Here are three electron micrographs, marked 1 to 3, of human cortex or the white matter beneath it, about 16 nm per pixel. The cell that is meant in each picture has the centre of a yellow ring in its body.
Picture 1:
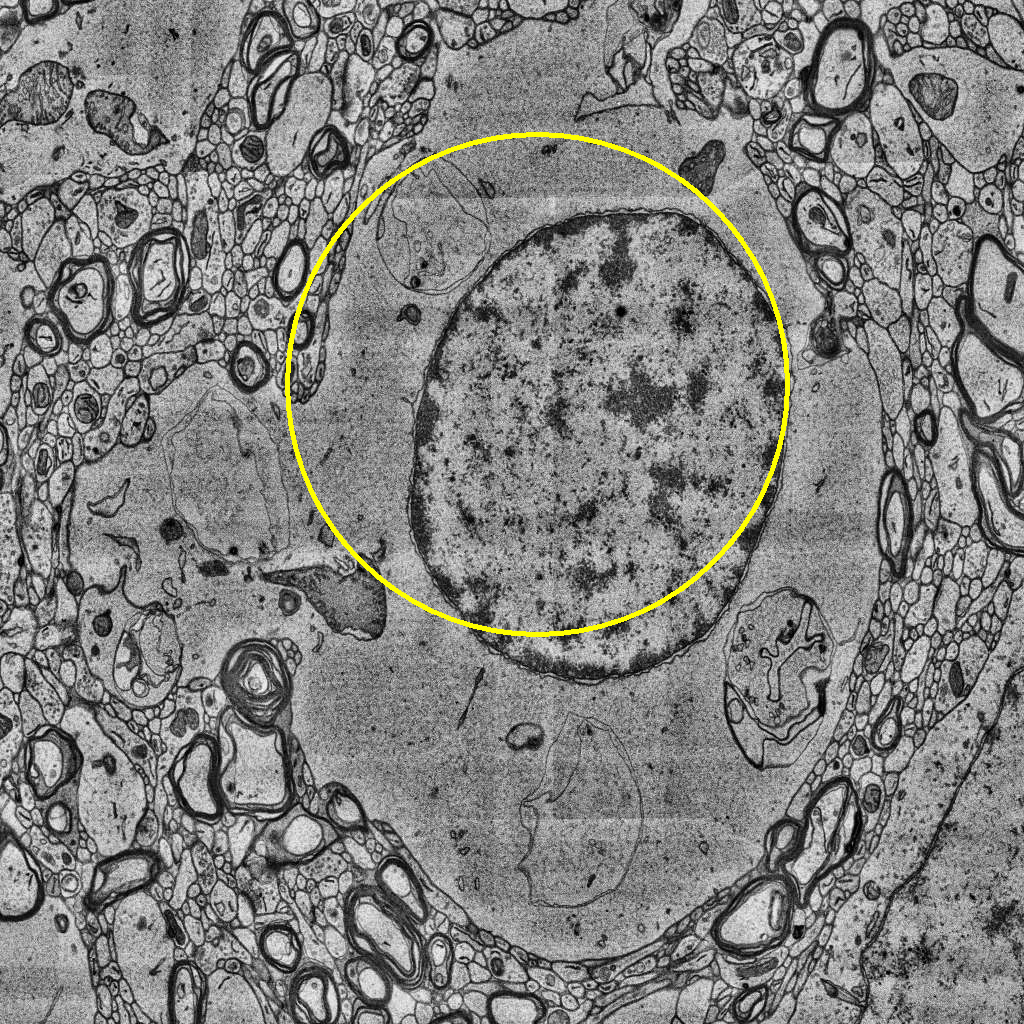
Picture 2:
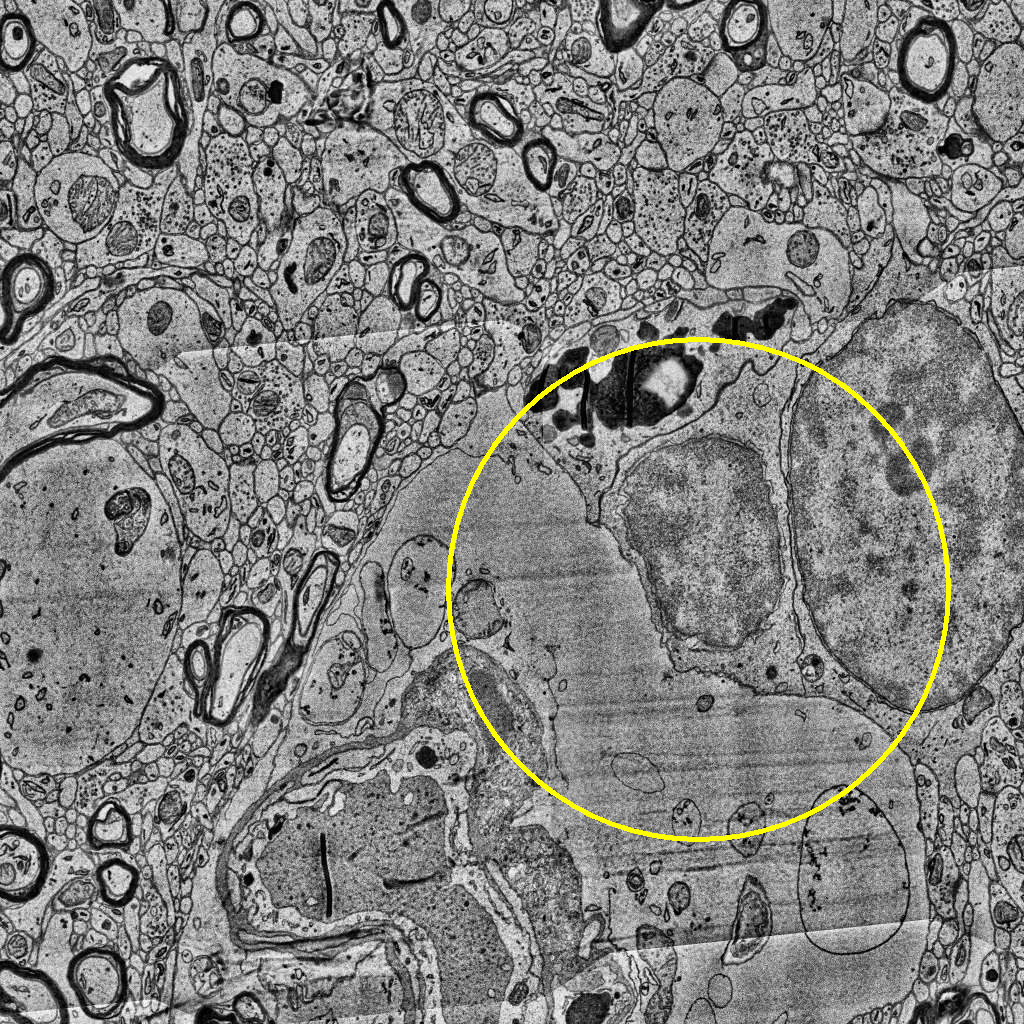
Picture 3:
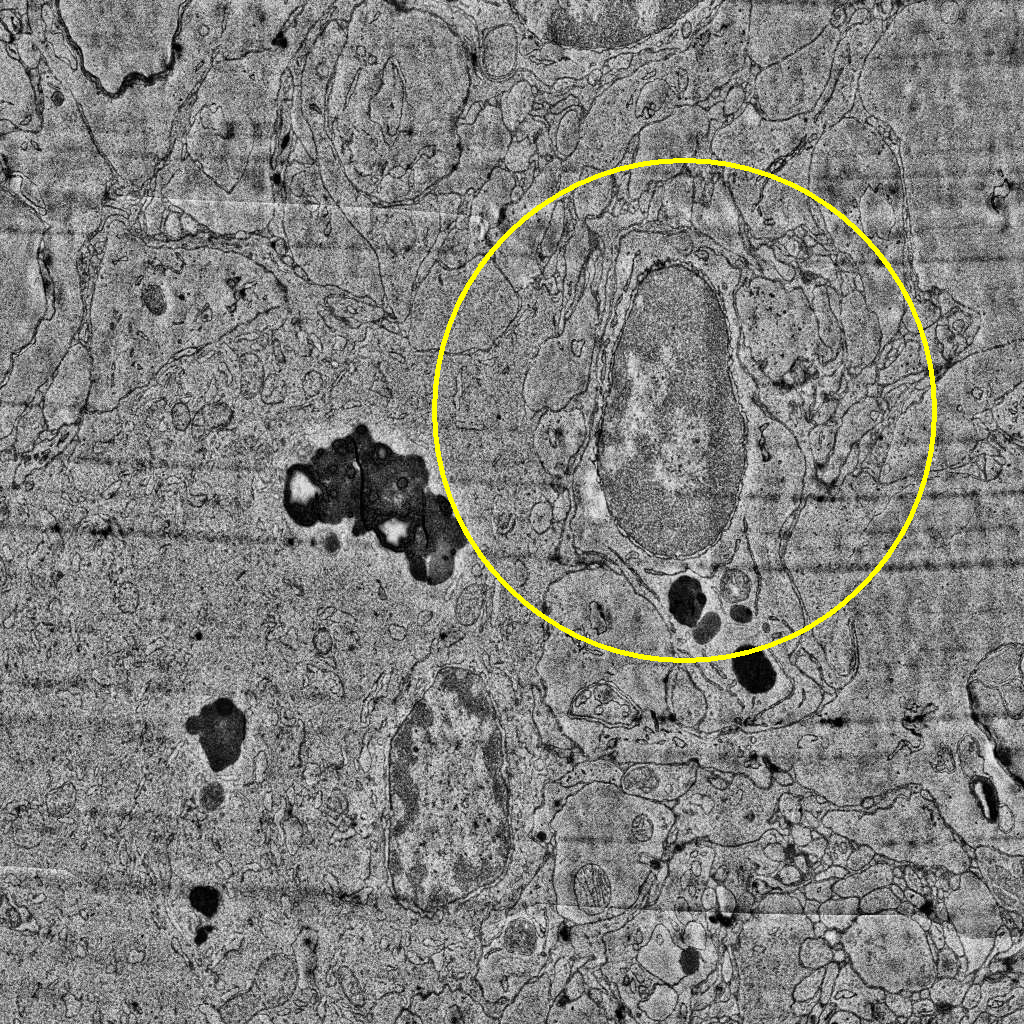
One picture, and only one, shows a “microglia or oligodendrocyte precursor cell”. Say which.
The cell in picture 3 is the “microglia or oligodendrocyte precursor cell”.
